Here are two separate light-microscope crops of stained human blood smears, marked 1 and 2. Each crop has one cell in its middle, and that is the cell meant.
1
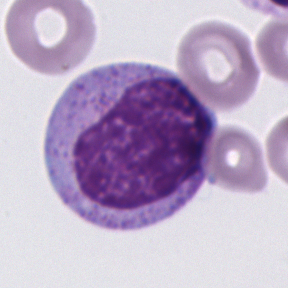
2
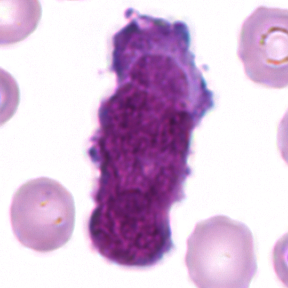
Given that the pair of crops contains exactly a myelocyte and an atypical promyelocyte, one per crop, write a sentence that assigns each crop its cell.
So, crop 1 is a myelocyte, and crop 2 is an atypical promyelocyte.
